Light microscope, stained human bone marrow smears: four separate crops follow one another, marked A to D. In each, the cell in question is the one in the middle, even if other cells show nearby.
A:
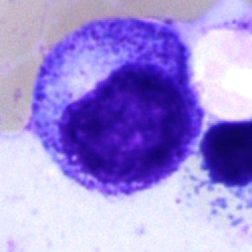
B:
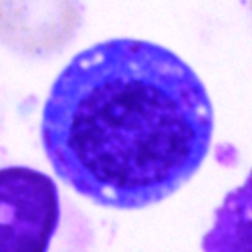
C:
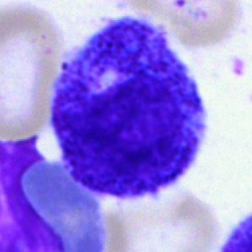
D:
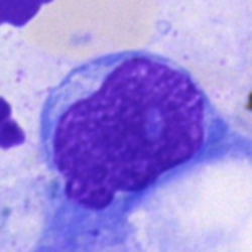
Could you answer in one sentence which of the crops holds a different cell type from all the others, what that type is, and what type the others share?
The central cell of crop D is a blast, while the other crops show promyelocytes.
